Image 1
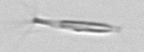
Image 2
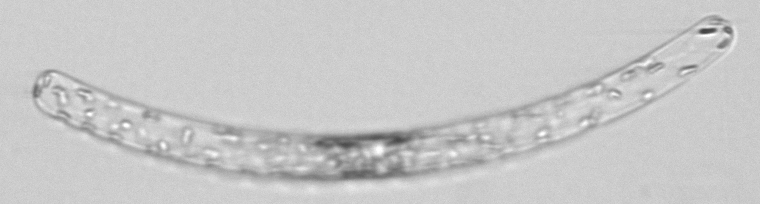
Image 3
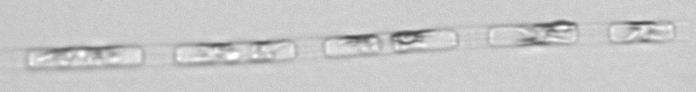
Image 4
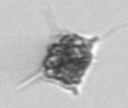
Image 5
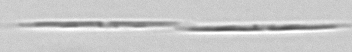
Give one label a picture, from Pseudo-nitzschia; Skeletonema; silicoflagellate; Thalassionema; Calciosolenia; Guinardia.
1: Calciosolenia
2: Guinardia
3: Skeletonema
4: silicoflagellate
5: Pseudo-nitzschia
